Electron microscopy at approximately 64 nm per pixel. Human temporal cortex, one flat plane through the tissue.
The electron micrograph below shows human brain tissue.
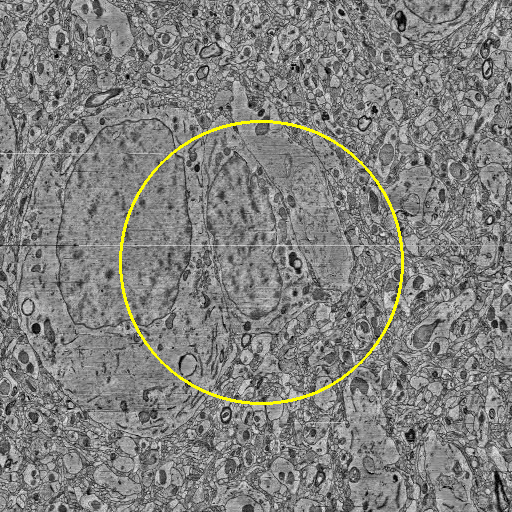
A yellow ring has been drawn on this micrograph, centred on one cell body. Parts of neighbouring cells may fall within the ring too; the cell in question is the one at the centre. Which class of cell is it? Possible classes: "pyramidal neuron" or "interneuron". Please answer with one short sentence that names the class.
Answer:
In the centre of the ring sits an interneuron.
